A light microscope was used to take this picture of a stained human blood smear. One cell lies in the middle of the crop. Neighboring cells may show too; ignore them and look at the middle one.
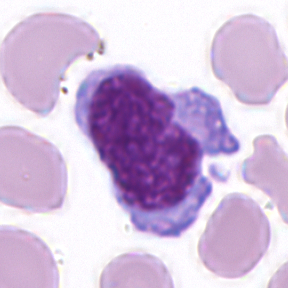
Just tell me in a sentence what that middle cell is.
The center cell of this crop is a plasma cell.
